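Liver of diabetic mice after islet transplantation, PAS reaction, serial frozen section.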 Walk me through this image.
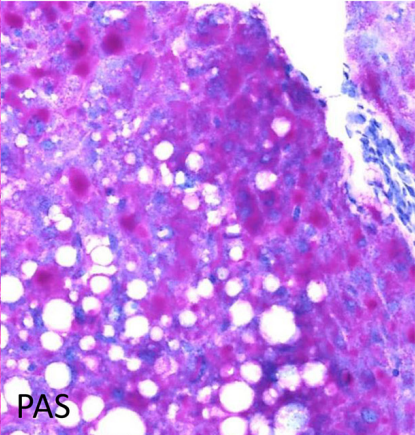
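Many cells hold round, clear, unstained vacuoles of varying size that are lipid droplets. Some hepatocytes are filled with especially dense magenta material, and bluish nuclei are seen between them. At the edge a small band of connective tissue with elongated nuclei is visible.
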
